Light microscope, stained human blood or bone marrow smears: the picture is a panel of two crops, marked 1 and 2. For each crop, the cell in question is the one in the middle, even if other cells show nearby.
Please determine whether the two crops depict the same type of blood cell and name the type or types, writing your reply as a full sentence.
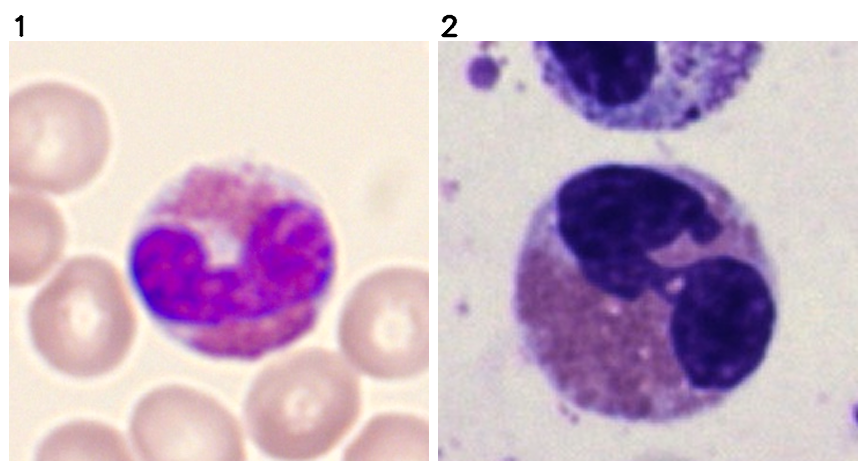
Yes, eosinophils are seen in both crops.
